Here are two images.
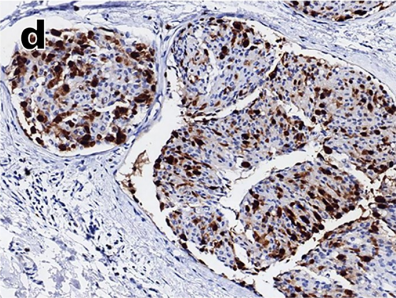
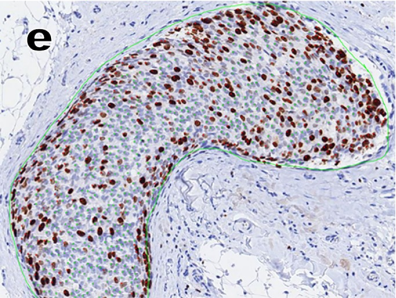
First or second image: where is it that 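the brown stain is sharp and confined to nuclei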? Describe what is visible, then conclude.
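The second image. First image: brown stain is smudged and spread over the tumor nests, individual nuclei hard to separate. Second image: distinct brown nuclei stand beside distinct blue nuclei.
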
